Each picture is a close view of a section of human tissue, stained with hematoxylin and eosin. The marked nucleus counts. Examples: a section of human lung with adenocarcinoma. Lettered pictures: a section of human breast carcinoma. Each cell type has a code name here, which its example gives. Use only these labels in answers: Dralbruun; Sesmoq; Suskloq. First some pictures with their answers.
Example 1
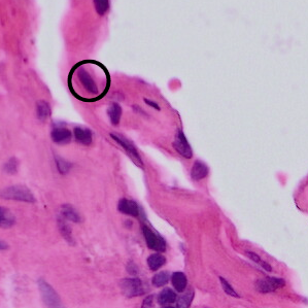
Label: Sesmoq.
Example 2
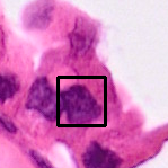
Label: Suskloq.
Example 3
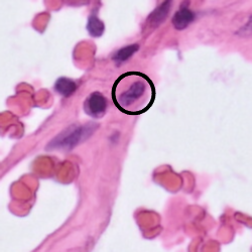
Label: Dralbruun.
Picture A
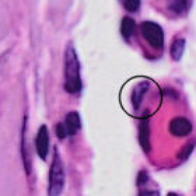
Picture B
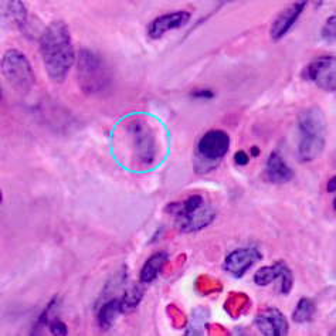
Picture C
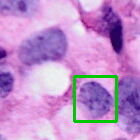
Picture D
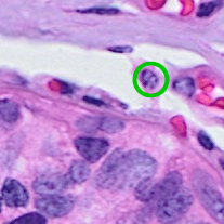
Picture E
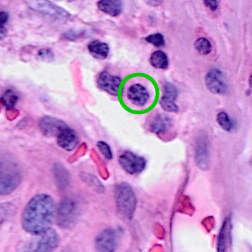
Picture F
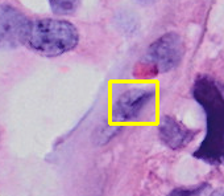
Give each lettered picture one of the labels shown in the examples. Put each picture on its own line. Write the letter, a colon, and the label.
A: Sesmoq.
B: Dralbruun.
C: Suskloq.
D: Dralbruun.
E: Dralbruun.
F: Sesmoq.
